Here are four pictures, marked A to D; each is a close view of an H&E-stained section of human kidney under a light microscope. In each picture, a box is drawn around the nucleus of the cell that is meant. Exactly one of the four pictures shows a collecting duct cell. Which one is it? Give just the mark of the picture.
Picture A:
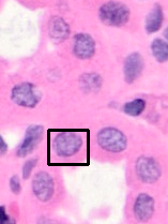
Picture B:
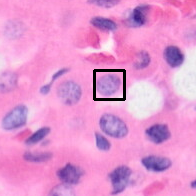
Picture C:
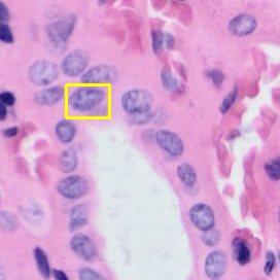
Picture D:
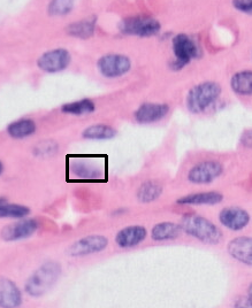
C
